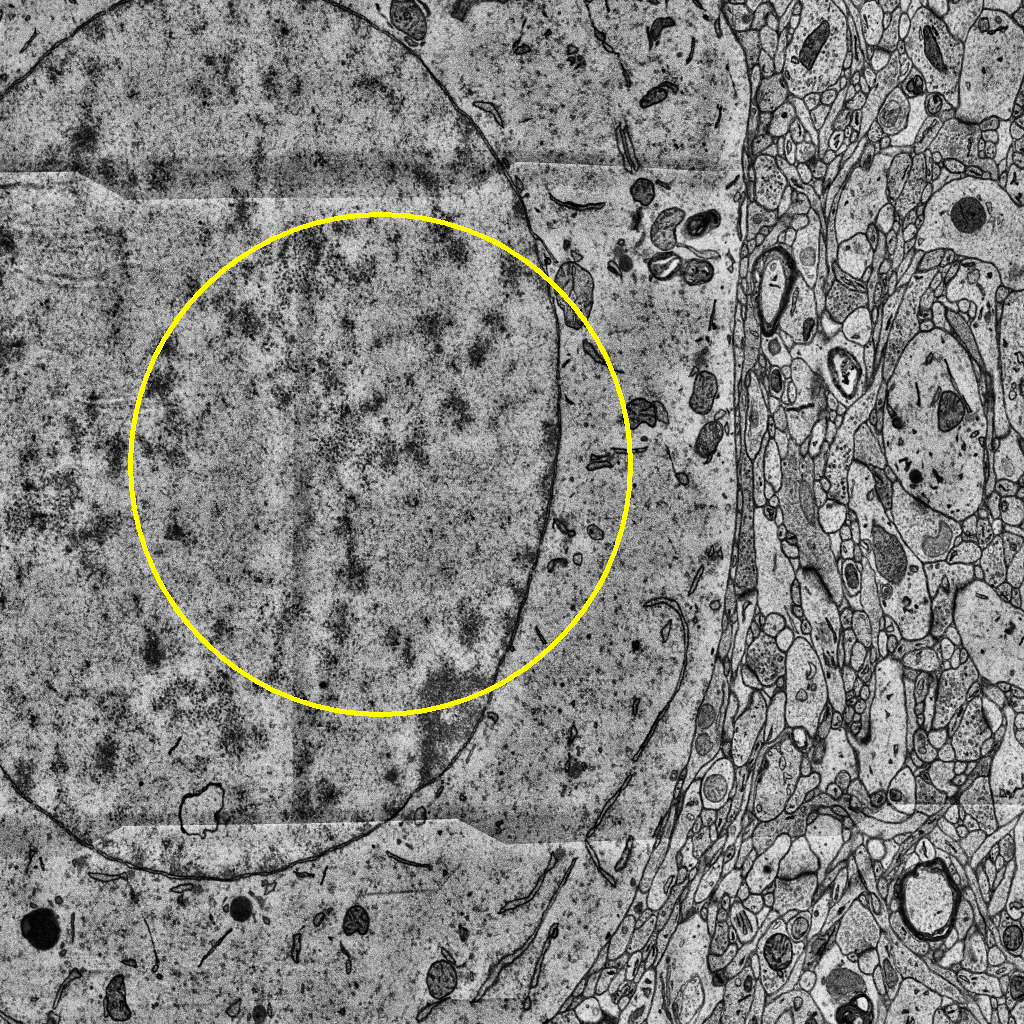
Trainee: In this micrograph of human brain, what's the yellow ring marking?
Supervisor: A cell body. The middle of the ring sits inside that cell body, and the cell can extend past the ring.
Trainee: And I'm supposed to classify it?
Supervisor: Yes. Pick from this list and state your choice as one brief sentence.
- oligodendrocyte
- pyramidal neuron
The cell at the ring's center is a pyramidal neuron.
